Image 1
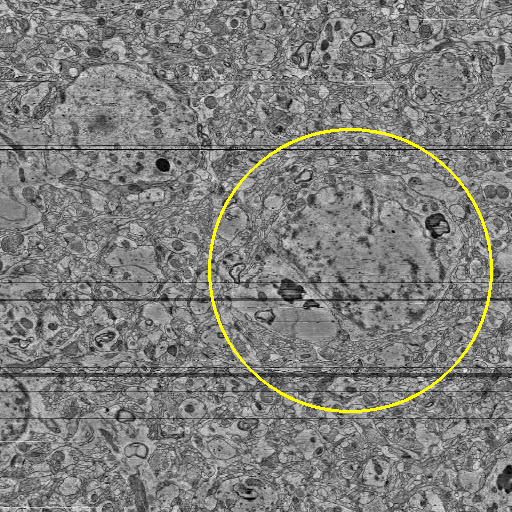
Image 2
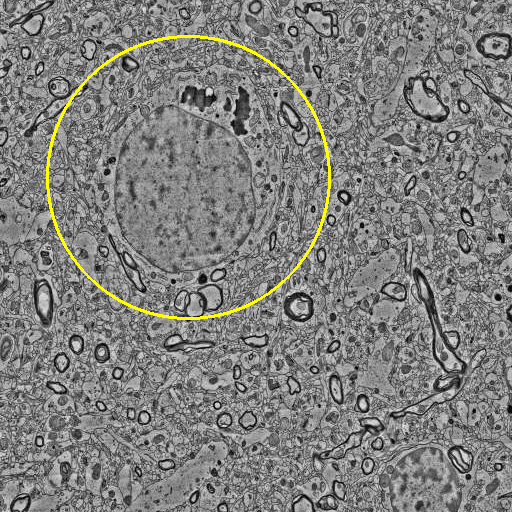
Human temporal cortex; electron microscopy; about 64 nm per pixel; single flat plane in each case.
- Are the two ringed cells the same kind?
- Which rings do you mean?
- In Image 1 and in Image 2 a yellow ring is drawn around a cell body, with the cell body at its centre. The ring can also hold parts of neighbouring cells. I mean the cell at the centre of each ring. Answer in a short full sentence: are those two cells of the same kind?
Yes, both cells are of the same kind.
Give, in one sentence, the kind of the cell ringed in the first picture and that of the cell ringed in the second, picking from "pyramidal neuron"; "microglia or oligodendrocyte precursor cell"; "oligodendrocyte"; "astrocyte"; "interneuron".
Each cell, in the first picture and the second, is an interneuron.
